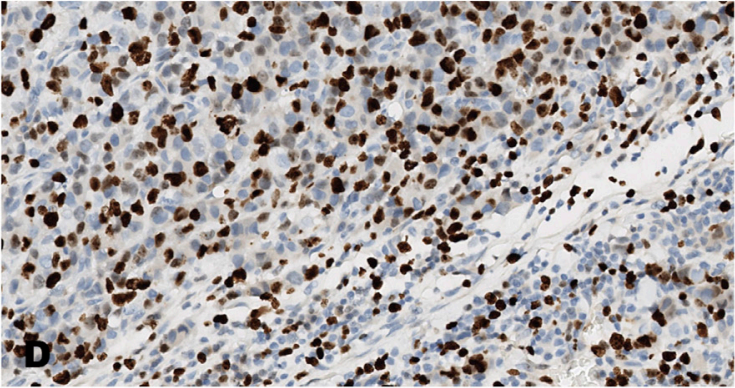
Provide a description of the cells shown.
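Sheets of crowded tumour epithelial cells with round to oval nuclei occupy the field, with a band of looser stroma crossing the lower right. The brown nuclei are scattered throughout the sheets rather than confined to one zone, and a large share of the tumour cells carry them.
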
